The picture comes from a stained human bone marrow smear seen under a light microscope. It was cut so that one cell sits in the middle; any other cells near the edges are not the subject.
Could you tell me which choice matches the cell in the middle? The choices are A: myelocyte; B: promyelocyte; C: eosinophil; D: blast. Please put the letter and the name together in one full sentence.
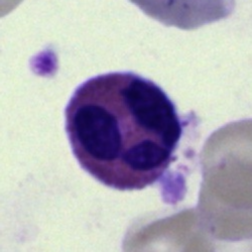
The central cell is an eosinophil, which makes option C the right answer.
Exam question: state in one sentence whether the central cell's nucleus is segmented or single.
Multiple nuclear lobes, two or more, can be counted in this cell.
